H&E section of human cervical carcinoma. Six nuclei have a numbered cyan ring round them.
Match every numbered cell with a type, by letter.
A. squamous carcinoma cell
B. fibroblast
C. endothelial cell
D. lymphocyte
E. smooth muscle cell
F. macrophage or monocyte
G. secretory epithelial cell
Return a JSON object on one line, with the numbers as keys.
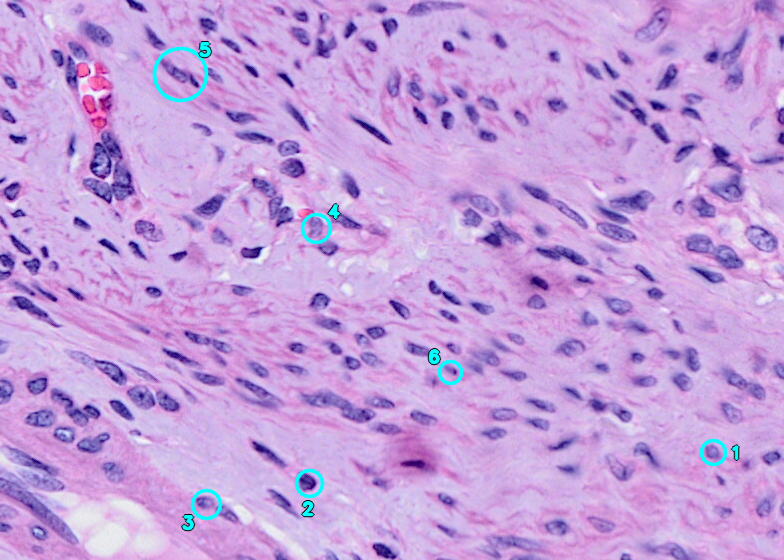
{"1": "E", "2": "D", "3": "E", "4": "C", "5": "E", "6": "E"}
